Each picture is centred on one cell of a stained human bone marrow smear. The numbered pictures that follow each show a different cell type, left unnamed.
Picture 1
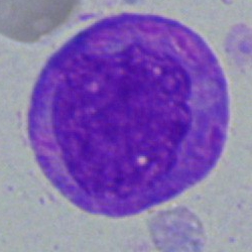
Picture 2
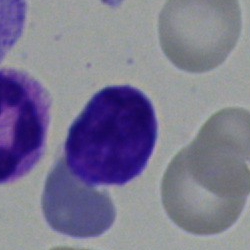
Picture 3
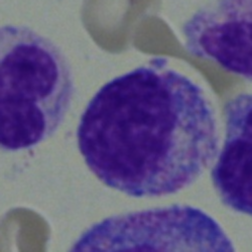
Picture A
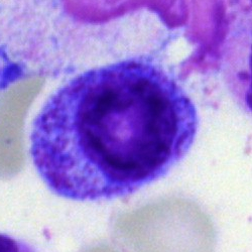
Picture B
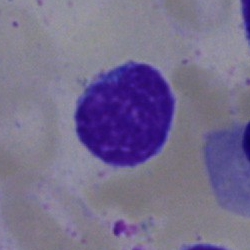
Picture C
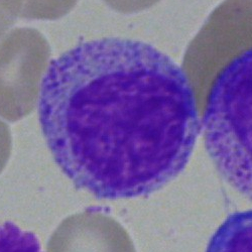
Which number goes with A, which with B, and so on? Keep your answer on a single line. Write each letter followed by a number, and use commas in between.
A 3, B 2, C 3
